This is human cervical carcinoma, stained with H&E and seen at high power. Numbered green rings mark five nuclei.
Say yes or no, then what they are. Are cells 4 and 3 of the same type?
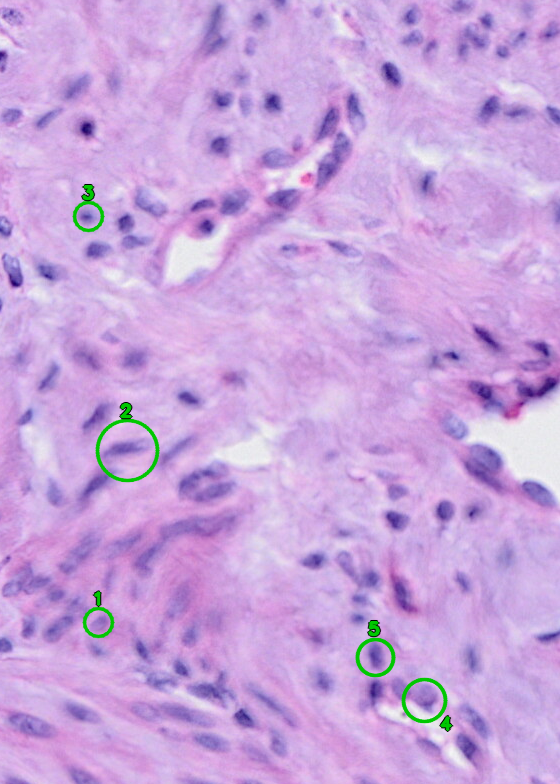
No, cell 4 is an endothelial cell and cell 3, for its part, is a fibroblast.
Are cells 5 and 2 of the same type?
Yes, just like cell 5, cell 2 is one of the fibroblasts.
